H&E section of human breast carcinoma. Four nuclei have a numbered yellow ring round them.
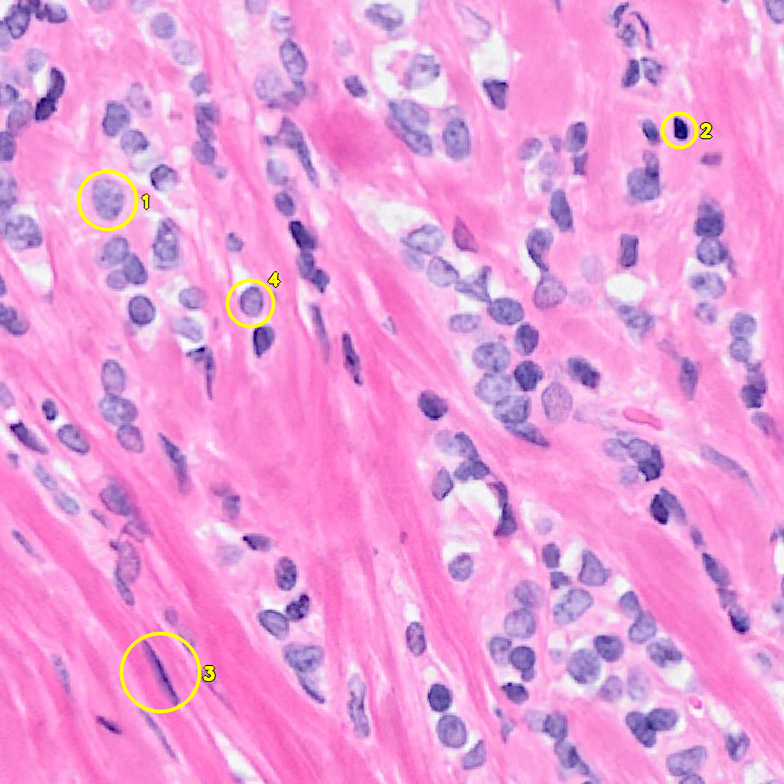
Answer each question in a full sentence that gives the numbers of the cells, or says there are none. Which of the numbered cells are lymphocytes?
Among the numbered cells, the one that is a lymphocyte is cell 2 alone.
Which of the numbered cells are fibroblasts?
Only the cell numbered 3 is a fibroblast; none of the others is.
